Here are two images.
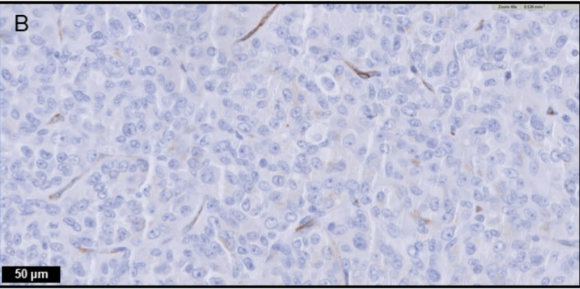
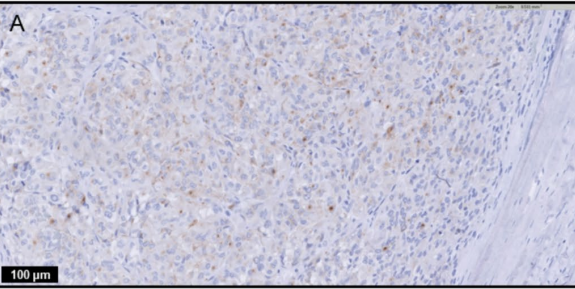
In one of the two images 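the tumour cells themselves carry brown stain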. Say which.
The second image.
